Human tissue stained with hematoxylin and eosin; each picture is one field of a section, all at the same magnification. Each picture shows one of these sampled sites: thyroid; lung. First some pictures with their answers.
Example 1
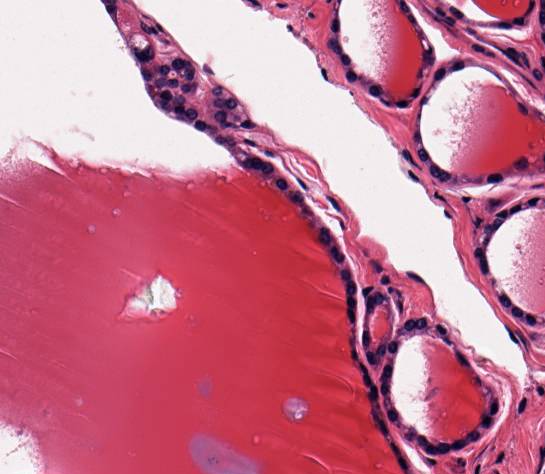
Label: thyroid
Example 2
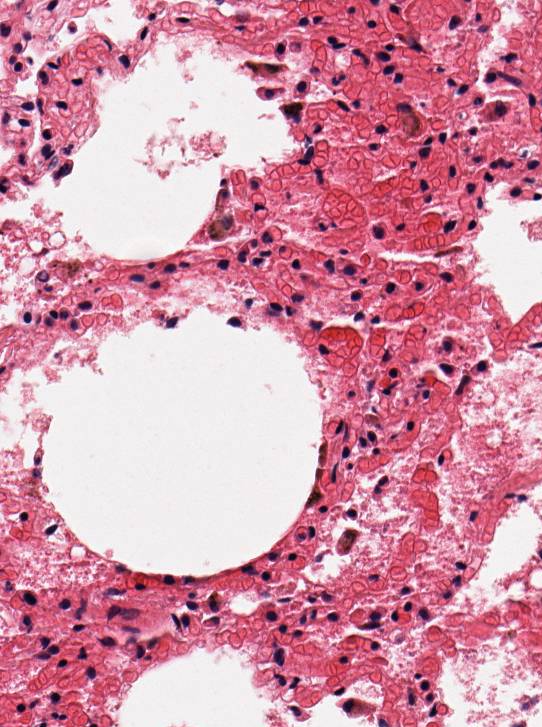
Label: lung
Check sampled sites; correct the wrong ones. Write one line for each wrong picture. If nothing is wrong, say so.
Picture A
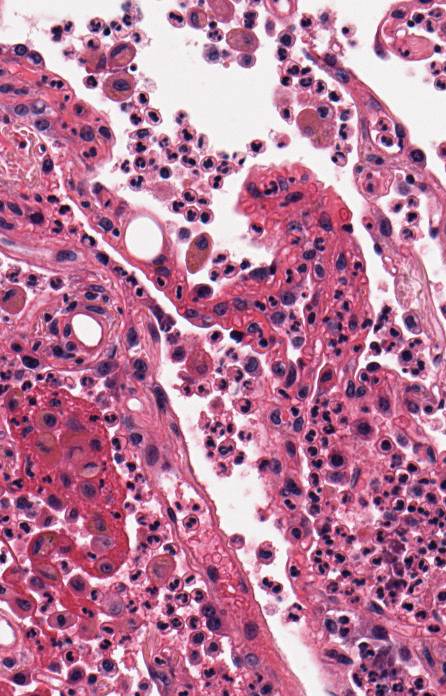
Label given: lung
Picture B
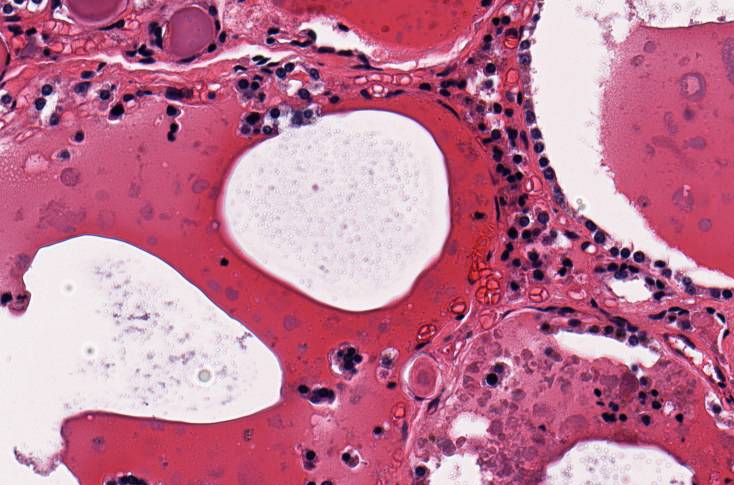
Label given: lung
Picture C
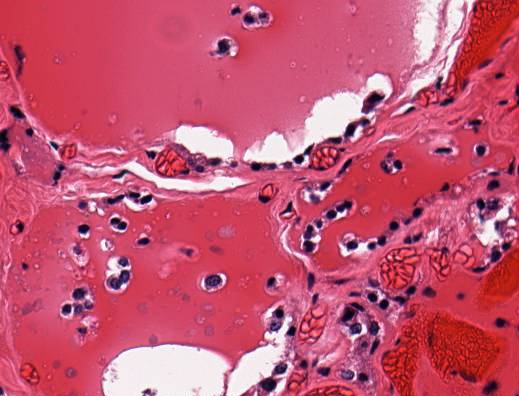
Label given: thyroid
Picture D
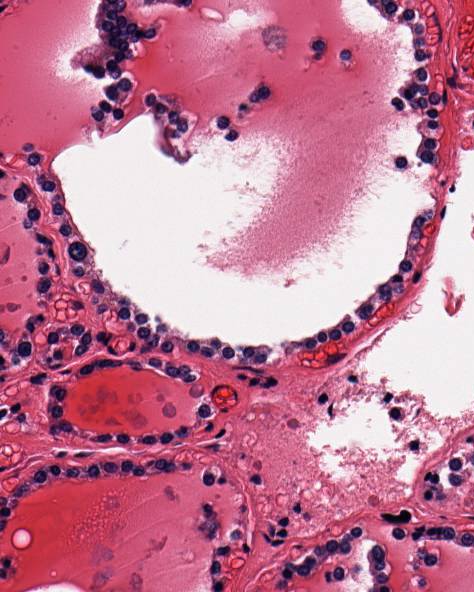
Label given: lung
B: change lung to thyroid
D: change lung to thyroid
